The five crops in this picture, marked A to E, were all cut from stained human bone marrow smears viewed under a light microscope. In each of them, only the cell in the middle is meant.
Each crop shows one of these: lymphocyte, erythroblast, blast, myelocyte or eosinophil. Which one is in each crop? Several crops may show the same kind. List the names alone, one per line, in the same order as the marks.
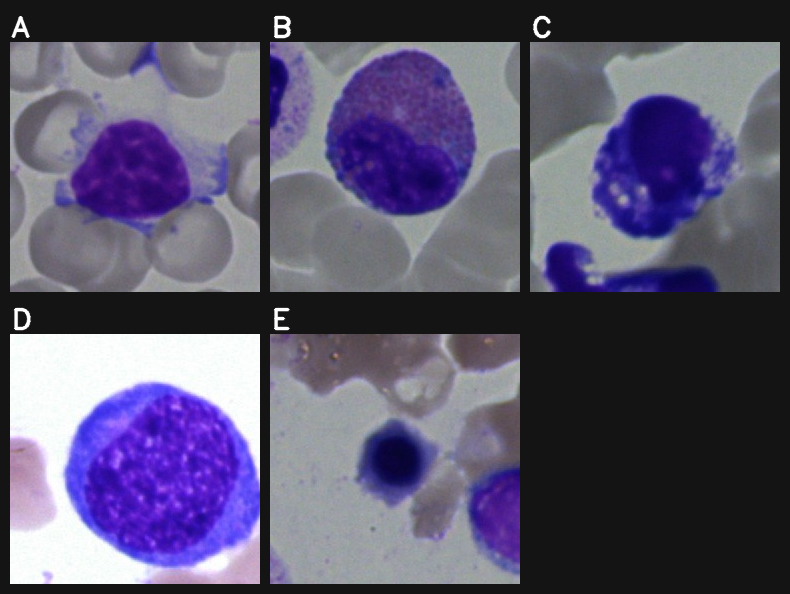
lymphocyte
eosinophil
blast
erythroblast
erythroblast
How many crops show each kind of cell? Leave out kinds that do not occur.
erythroblast: 2
lymphocyte: 1
eosinophil: 1
blast: 1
